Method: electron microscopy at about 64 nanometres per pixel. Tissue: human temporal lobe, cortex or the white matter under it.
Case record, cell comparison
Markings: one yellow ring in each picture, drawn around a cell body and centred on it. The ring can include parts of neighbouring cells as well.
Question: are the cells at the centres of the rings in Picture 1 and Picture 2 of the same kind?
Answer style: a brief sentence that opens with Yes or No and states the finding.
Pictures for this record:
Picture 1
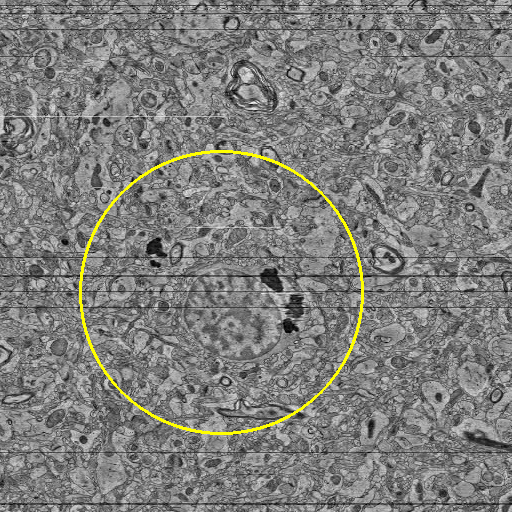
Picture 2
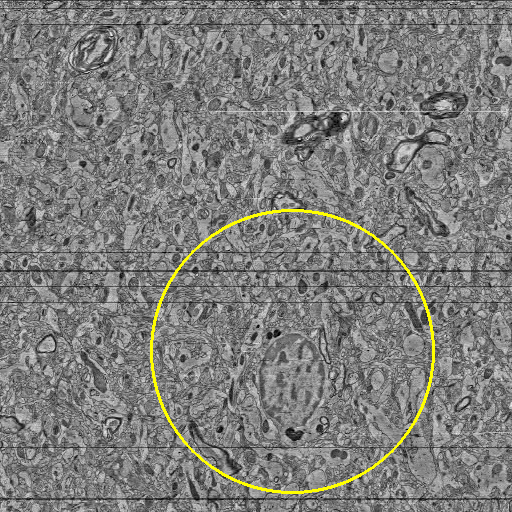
Yes, the cells in Picture 1 and Picture 2 are of the same kind.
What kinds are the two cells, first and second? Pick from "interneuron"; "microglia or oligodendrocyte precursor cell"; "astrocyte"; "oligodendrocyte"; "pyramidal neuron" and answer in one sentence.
Each of the two cells is an oligodendrocyte.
